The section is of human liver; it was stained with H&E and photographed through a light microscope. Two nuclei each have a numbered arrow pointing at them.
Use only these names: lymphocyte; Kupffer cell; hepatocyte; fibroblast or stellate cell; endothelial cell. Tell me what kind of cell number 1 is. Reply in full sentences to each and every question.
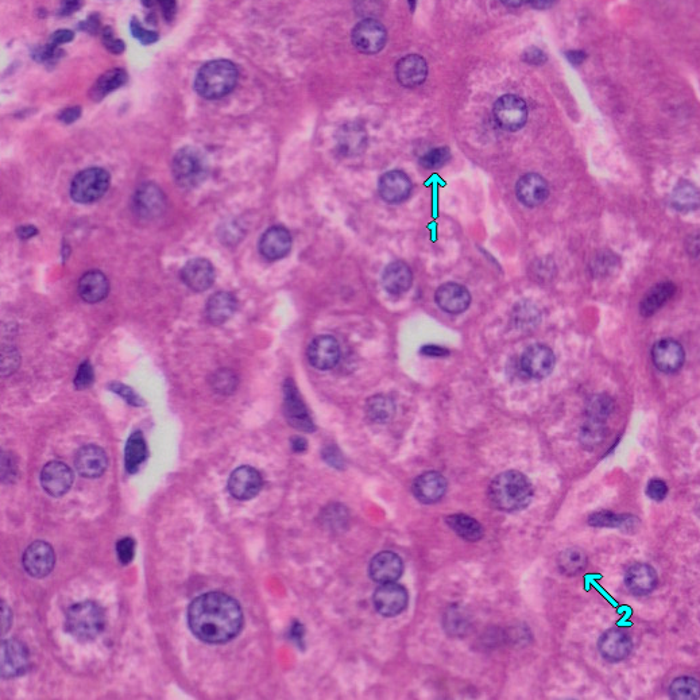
The cell that is numbered 1 is a fibroblast or stellate cell.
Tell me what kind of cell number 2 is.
The cell numbered 2 represents a hepatocyte.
